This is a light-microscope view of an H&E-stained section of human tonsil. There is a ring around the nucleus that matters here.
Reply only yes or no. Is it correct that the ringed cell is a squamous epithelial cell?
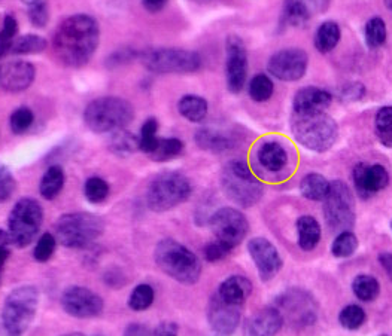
no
